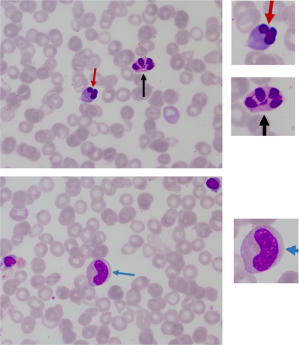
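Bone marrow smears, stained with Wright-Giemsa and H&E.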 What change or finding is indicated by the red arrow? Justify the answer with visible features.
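The marked cell has a purple nucleus with irregular lobes bulging out of its outline. The zoomed copy shows the lumpy nuclear contour. That points to this answer: Irregular budding nucleus.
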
